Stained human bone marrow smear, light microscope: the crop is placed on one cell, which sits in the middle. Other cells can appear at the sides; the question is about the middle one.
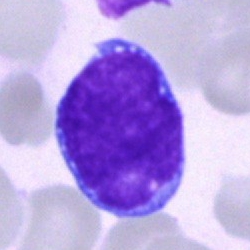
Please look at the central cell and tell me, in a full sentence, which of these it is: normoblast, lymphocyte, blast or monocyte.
This particular crop is centered on a blast.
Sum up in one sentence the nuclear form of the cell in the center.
Key feature: a single compact nucleus, round, oval or kidney-shaped.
